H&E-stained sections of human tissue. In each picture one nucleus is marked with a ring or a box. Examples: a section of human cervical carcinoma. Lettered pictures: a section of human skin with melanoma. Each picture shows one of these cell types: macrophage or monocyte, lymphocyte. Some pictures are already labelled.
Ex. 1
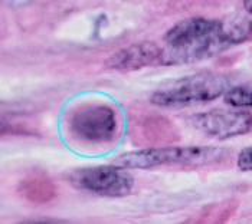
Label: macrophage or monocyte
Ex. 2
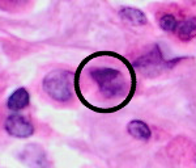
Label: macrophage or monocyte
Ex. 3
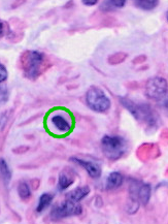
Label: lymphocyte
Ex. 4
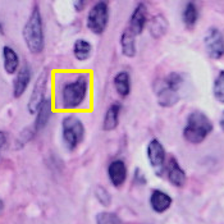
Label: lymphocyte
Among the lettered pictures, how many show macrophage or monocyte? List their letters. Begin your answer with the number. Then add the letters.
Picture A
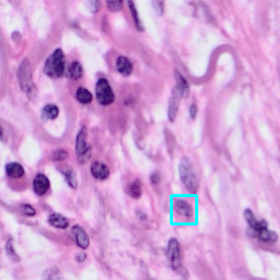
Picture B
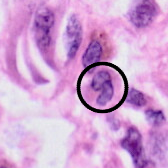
2: A, B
